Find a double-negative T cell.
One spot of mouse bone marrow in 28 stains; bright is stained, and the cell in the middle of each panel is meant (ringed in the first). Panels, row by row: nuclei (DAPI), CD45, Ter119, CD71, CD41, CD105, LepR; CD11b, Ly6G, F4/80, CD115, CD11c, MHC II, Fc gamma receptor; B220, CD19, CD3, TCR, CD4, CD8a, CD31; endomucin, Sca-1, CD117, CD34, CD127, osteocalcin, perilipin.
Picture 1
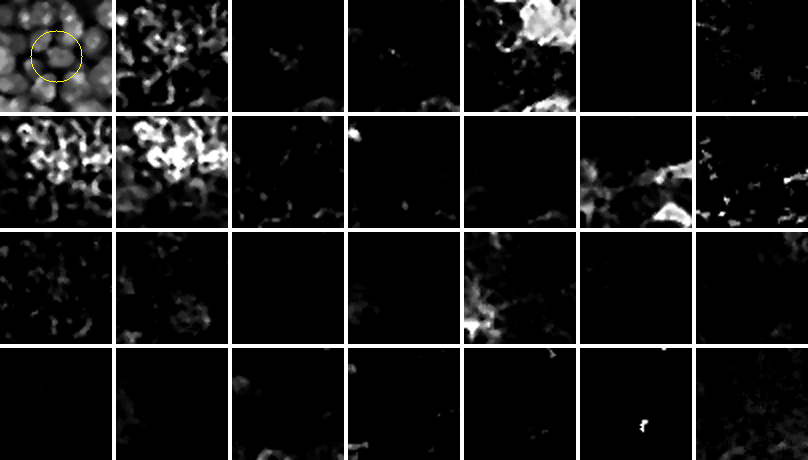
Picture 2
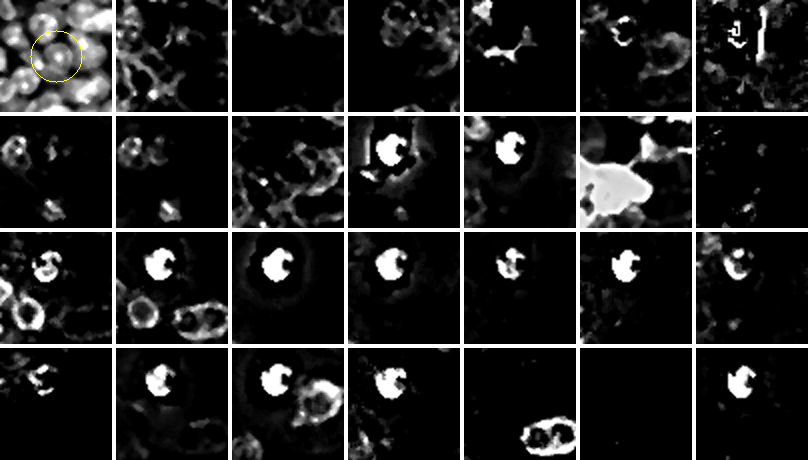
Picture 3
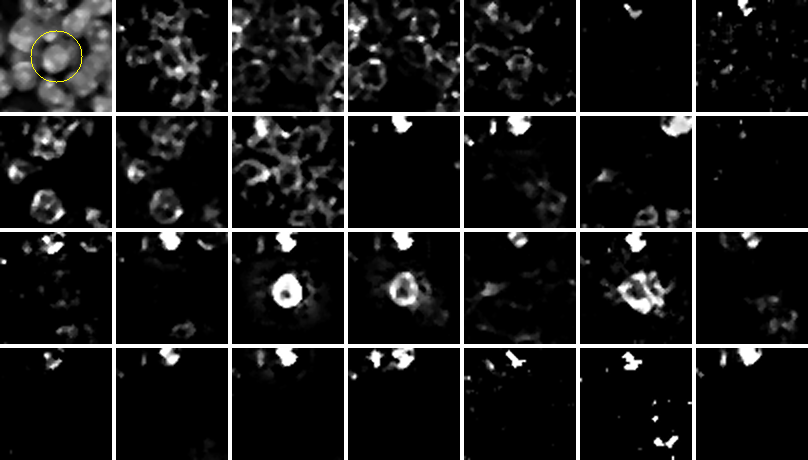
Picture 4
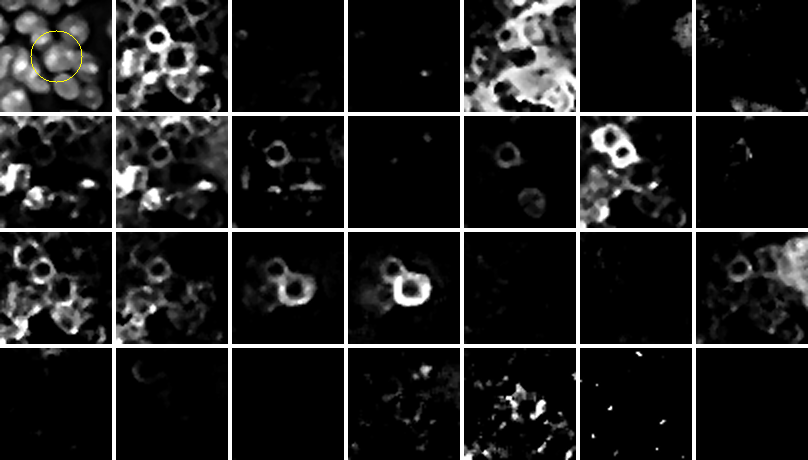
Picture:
4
